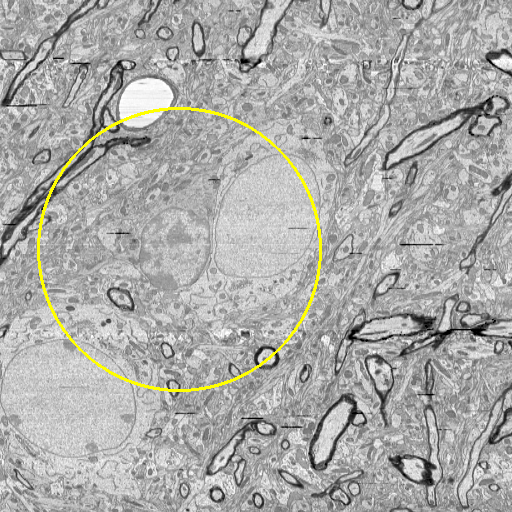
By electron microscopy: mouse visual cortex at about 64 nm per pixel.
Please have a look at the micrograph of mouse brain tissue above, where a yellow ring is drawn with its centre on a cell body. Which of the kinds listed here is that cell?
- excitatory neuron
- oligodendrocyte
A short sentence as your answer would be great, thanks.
At the centre of the ring sits an oligodendrocyte.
